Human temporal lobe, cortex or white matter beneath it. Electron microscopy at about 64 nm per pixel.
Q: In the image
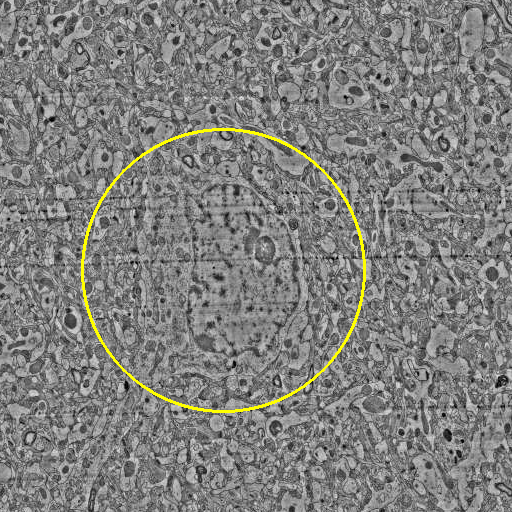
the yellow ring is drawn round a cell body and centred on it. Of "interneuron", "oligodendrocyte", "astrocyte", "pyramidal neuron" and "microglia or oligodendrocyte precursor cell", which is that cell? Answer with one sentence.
The cell centred in the ring is an interneuron.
